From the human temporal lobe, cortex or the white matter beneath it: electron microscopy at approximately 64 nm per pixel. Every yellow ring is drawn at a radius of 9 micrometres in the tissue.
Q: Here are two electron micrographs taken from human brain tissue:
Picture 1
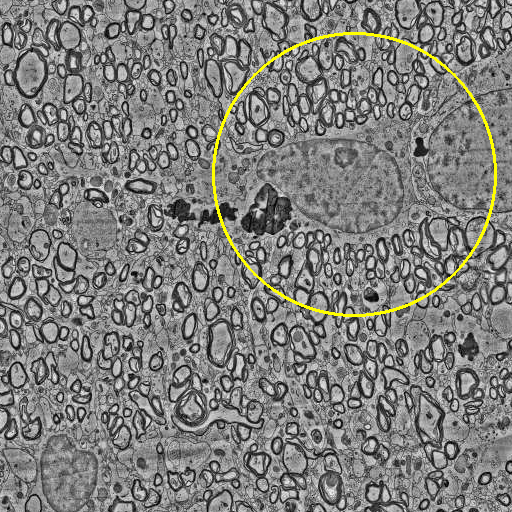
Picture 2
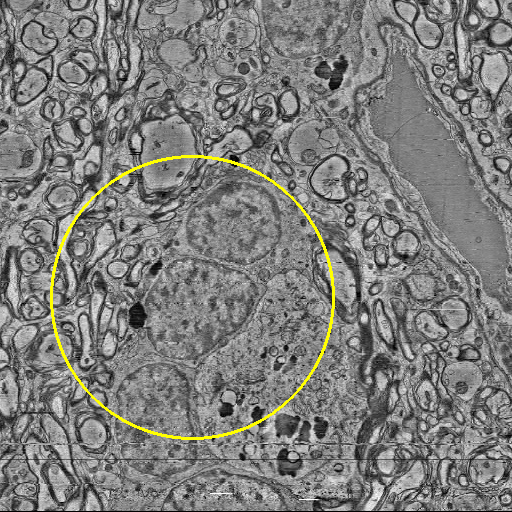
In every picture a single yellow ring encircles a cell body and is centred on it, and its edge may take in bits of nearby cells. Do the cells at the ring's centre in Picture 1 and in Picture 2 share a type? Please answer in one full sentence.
Yes, the cells at the ring's centre in Picture 1 and Picture 2 share a type.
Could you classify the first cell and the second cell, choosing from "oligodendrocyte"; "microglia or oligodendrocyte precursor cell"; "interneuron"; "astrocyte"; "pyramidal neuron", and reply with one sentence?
Each one of the two ringed cells is an oligodendrocyte.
